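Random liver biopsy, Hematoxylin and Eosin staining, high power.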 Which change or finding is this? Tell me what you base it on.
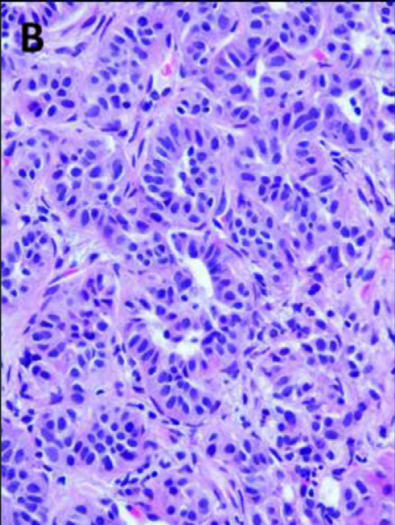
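Microscopic tumor foci. Crowded cells with oval, dark nuclei form nests and trabeculae. Cells line small central lumina in rosette-like groups. Thin pink stroma separates the cell groups.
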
